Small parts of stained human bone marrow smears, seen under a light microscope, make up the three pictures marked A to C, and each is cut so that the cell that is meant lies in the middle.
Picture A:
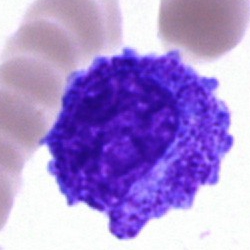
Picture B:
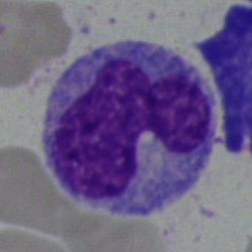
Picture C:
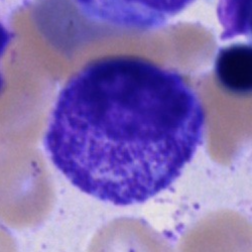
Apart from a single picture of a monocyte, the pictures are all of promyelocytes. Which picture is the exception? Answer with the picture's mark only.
B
